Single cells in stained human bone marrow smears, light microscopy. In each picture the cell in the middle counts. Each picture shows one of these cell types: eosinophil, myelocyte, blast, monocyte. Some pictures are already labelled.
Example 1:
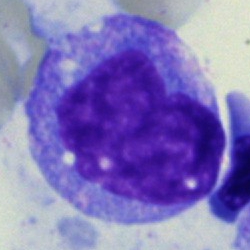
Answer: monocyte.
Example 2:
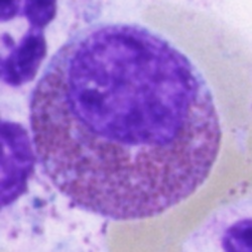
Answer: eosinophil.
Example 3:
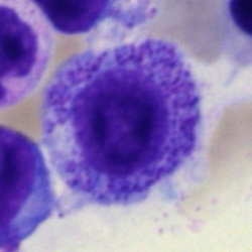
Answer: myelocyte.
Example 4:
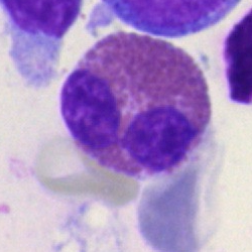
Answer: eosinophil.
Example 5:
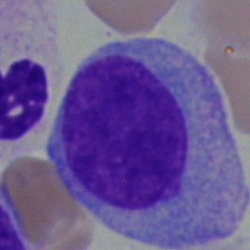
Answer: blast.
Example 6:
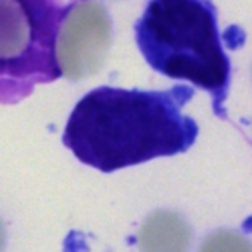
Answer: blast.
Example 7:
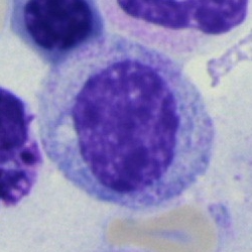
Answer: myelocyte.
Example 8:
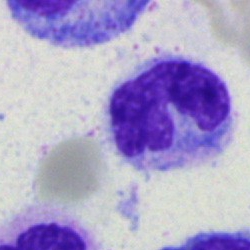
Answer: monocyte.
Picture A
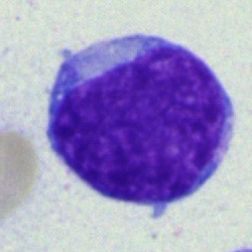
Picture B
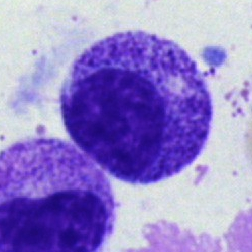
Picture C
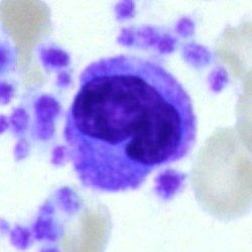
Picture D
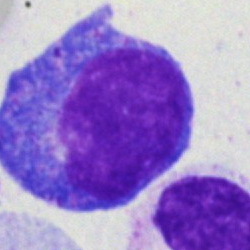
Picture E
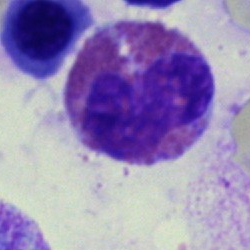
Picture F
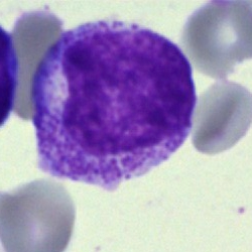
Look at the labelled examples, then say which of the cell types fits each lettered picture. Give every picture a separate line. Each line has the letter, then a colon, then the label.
A: blast.
B: myelocyte.
C: monocyte.
D: blast.
E: eosinophil.
F: myelocyte.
